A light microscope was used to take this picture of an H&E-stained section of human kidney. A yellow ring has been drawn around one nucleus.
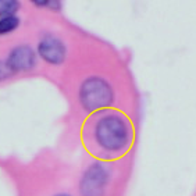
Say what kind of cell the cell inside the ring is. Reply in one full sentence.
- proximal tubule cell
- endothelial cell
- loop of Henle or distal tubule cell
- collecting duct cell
The cell inside the ring is a collecting duct cell.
